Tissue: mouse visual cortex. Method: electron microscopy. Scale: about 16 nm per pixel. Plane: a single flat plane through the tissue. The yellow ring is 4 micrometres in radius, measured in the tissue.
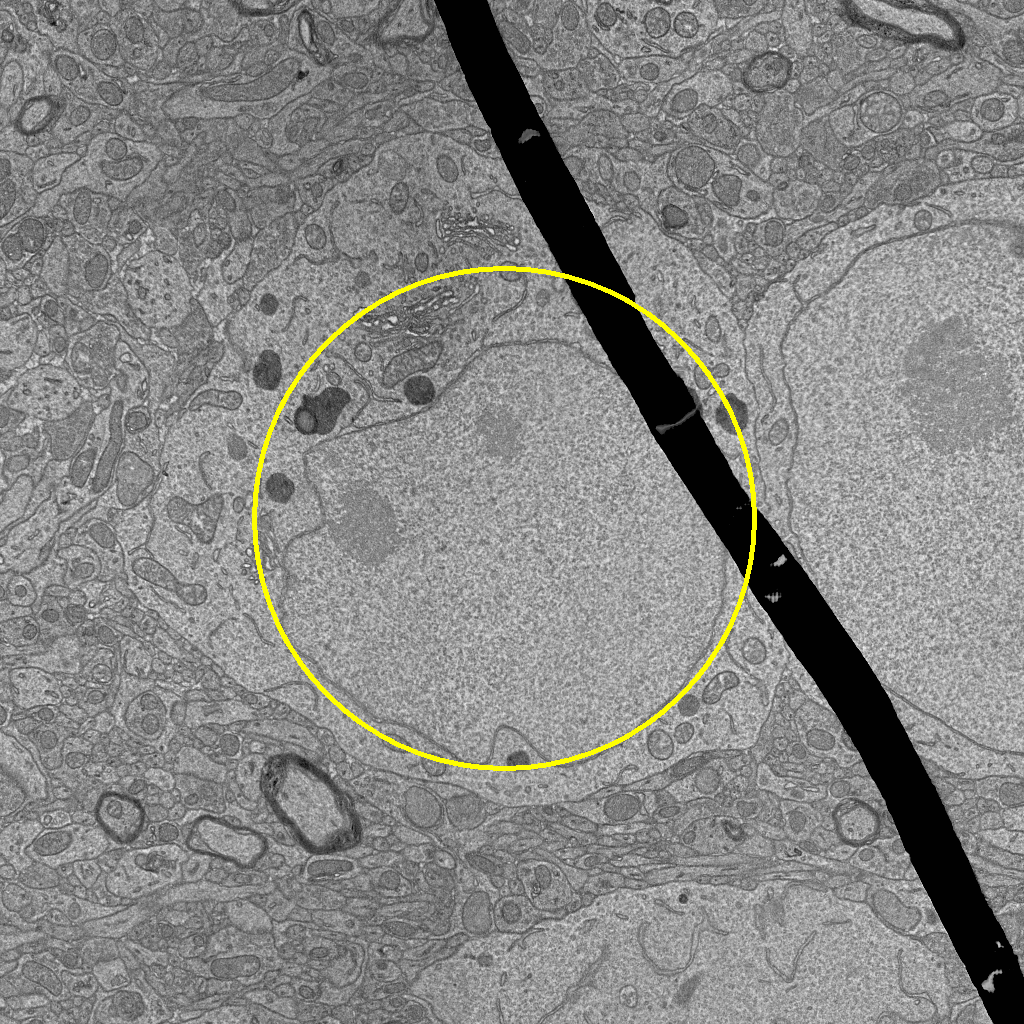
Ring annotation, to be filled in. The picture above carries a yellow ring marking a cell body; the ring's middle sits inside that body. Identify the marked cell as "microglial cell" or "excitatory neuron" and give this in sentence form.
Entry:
The cell at the middle of the ring is an excitatory neuron.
